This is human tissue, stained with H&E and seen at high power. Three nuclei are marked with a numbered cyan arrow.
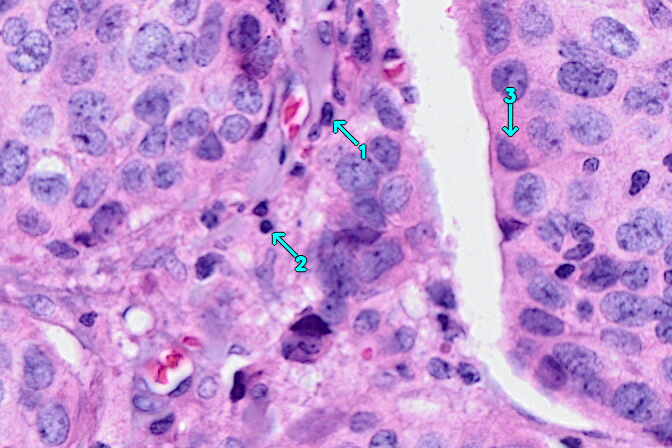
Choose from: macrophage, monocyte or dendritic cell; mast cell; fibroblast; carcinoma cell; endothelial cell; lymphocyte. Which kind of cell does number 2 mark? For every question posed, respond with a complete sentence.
The cell tagged with 2 in this tissue section is a lymphocyte.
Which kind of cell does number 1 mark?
The numbered cell 1 in this field is a lymphocyte.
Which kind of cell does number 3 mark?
In the marked set, the cell given number 3 is a carcinoma cell.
